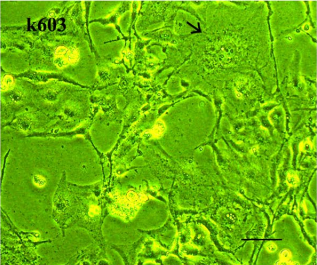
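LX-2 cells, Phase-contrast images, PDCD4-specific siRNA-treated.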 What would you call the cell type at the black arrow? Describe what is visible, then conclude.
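The arrow points to a broad, flattened cell covering a large area of the field. Its cytoplasm shows many small granules.
Giant cells with cytoplasmic granularity.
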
